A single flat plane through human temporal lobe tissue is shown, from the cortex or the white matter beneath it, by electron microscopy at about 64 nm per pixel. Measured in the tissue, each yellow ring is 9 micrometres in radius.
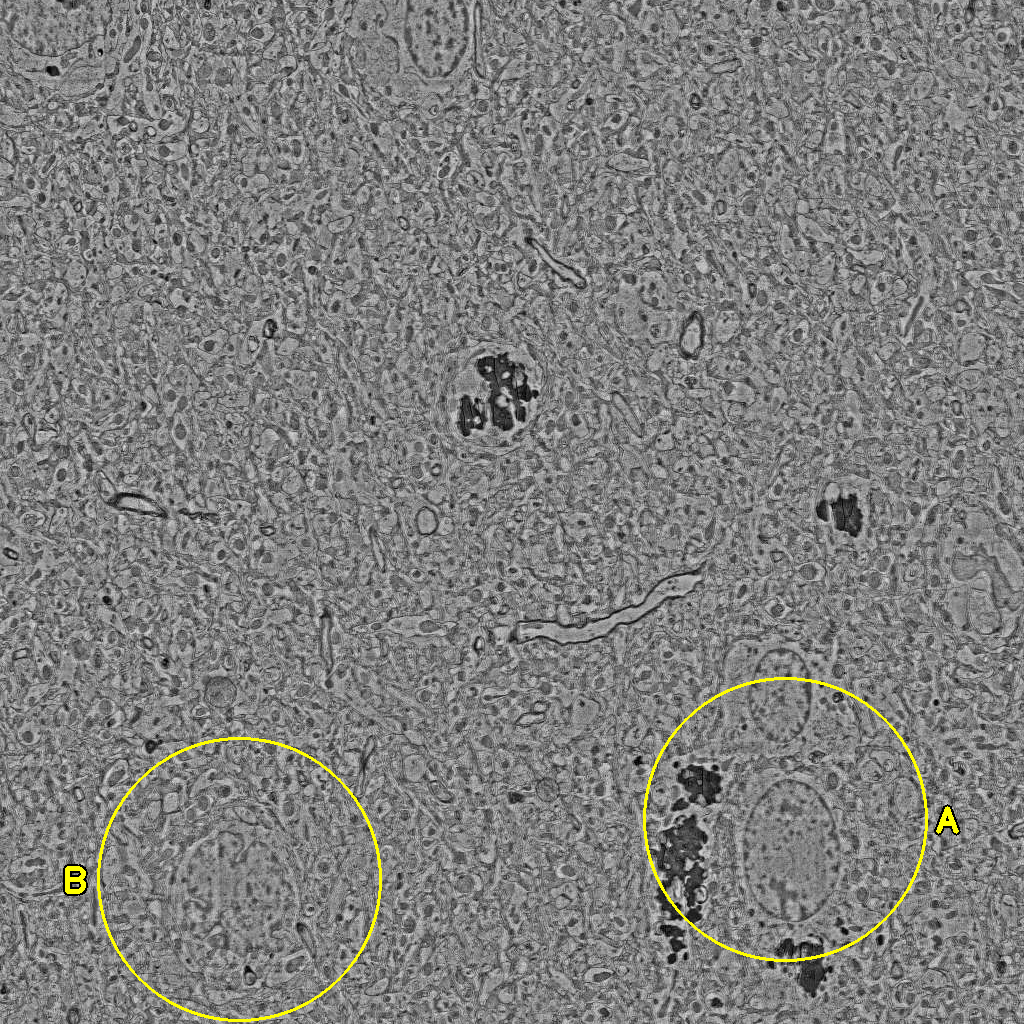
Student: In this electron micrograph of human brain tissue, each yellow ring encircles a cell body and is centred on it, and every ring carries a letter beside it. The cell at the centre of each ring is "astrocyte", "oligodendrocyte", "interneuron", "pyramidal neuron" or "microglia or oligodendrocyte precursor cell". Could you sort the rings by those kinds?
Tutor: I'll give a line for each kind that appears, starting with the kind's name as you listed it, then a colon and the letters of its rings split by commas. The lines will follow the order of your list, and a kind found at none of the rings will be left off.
astrocyte: A
interneuron: B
